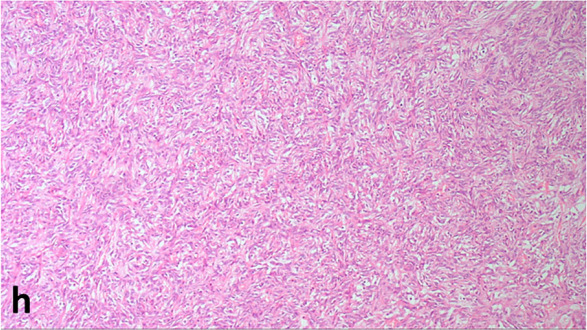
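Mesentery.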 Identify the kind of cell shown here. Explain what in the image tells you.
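Cells are densely packed with no glands or epithelial structures.
Answer: fusiform spindle-shaped tumor cells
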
